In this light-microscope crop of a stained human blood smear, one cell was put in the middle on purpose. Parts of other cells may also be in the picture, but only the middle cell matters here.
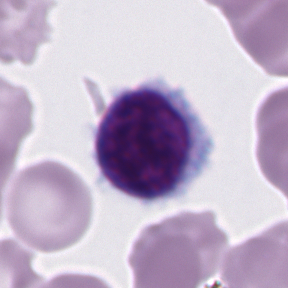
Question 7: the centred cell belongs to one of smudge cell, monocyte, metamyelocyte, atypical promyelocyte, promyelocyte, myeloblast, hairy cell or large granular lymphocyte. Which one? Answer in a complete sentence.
The center cell of this crop is a hairy cell.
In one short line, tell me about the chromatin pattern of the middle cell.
The chromatin within its nucleus forms coarse clumps.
